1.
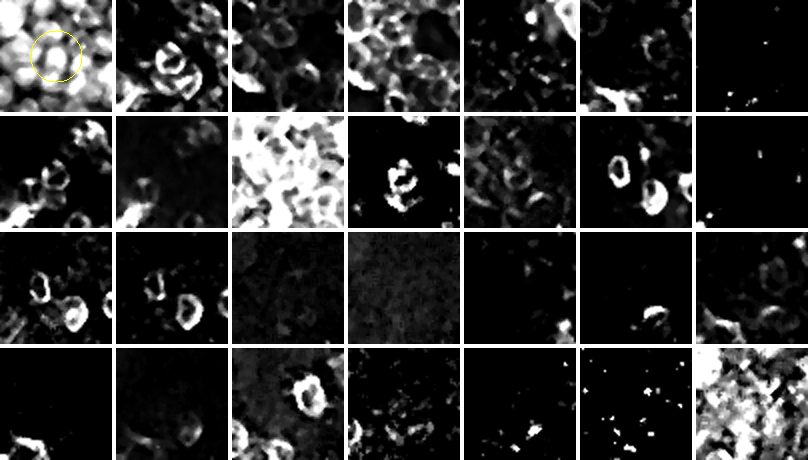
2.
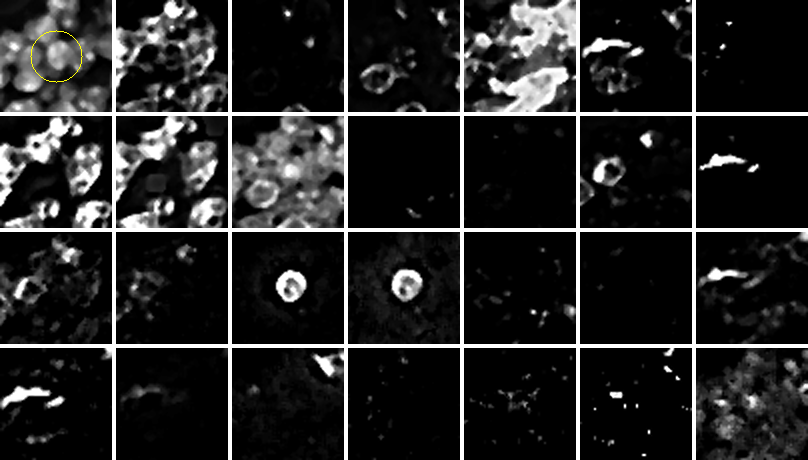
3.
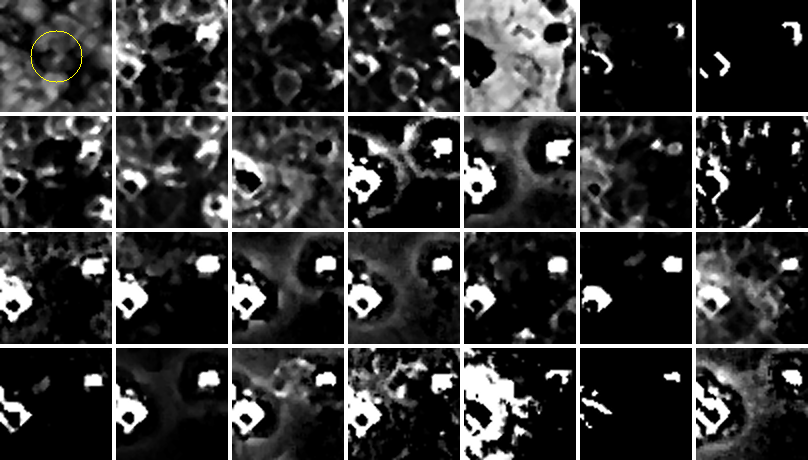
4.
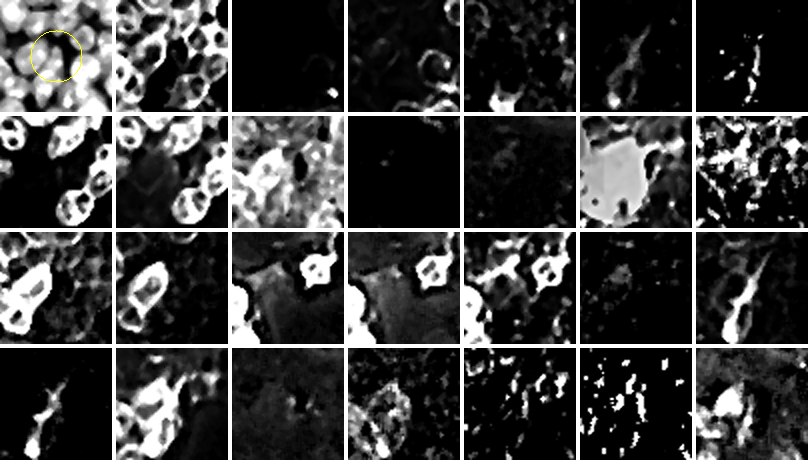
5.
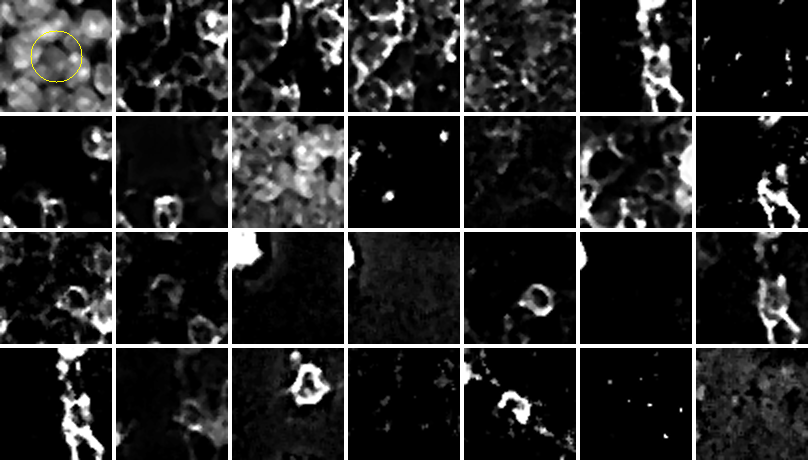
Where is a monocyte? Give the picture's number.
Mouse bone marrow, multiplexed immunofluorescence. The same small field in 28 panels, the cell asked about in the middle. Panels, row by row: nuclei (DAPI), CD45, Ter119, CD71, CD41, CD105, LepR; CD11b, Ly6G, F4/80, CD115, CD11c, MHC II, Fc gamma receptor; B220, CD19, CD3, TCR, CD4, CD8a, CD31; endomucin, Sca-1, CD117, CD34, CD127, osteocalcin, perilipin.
1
